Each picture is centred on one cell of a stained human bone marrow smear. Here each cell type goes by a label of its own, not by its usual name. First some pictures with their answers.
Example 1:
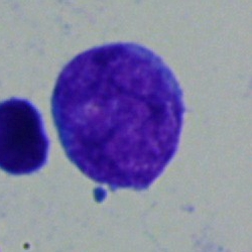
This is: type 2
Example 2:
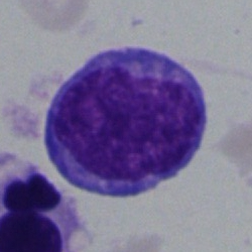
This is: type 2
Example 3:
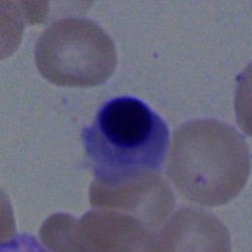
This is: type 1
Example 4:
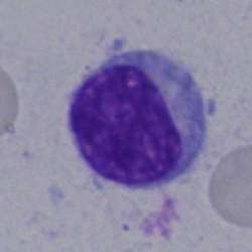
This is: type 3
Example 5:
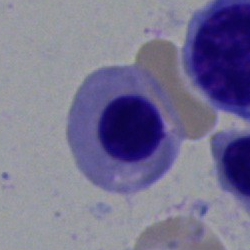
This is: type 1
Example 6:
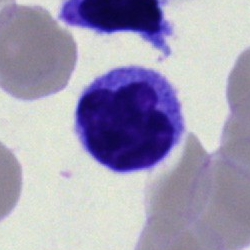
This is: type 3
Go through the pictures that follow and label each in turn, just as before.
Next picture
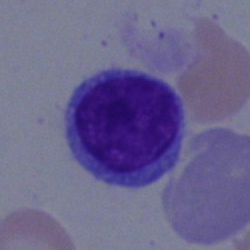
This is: type 3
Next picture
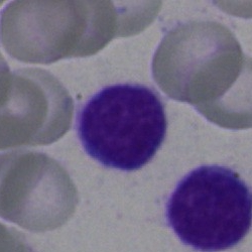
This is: type 3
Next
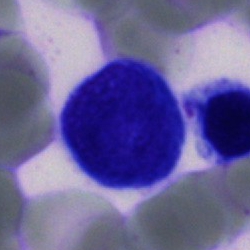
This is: type 2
